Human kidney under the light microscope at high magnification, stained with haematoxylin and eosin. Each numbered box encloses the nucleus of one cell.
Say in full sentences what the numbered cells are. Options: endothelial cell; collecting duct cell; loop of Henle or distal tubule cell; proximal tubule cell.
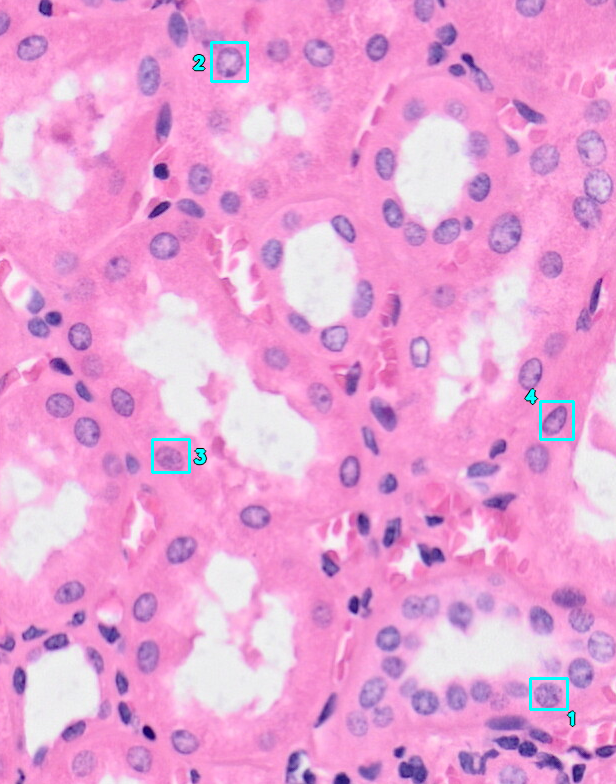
Cell 1 is a collecting duct cell. Cells 2, 3 and 4 are proximal tubule cells.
